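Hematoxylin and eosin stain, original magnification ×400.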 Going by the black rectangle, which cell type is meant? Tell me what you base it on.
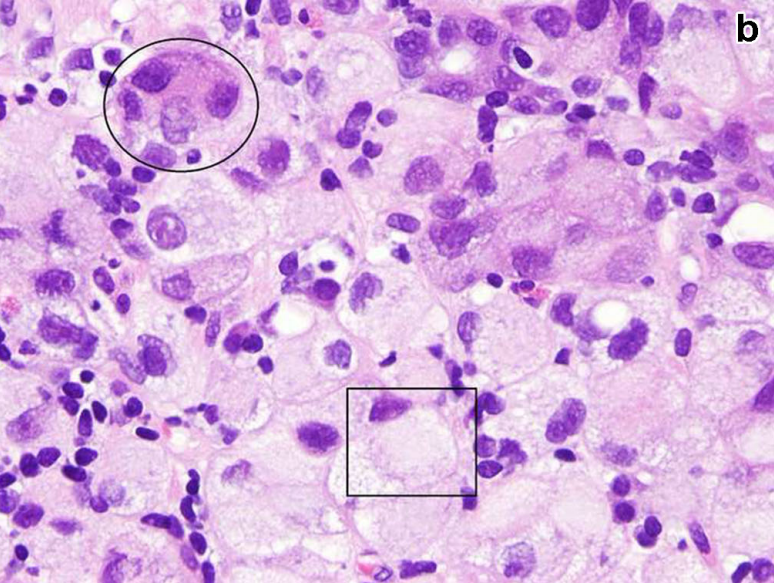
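Signet-ring-cell carcinoma. The boxed cell is round with abundant pale, finely vacuolated cytoplasm. Its dark nucleus is pushed to the edge of the cell.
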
